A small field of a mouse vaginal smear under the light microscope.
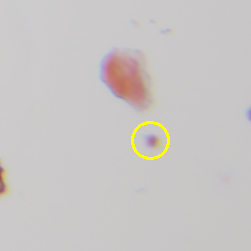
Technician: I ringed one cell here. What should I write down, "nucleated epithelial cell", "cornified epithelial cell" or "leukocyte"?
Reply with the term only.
leukocyte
